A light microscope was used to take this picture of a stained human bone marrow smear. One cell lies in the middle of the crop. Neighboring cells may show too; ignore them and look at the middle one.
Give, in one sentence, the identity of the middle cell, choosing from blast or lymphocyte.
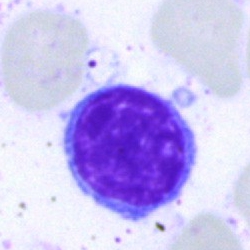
To answer, the cell in the center of the crop is a lymphocyte.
